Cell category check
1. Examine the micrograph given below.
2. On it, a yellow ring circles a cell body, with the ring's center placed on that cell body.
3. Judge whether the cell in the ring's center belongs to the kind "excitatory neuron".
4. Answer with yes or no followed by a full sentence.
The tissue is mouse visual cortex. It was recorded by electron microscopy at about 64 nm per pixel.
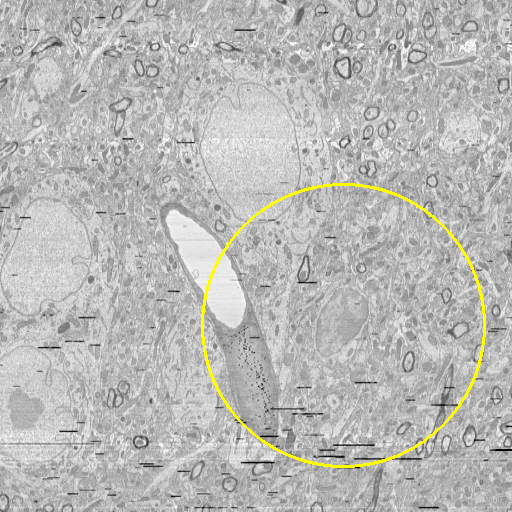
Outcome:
No, the cell found at the ring's center in the micrograph belongs to another kind.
